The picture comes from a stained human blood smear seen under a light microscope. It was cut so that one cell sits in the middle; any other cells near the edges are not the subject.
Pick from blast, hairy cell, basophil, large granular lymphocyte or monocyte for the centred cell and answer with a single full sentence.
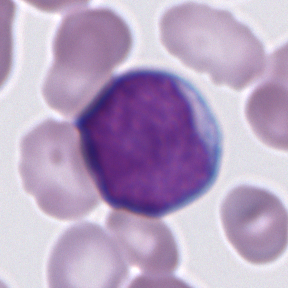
As for the cell in the middle, it is a blast.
